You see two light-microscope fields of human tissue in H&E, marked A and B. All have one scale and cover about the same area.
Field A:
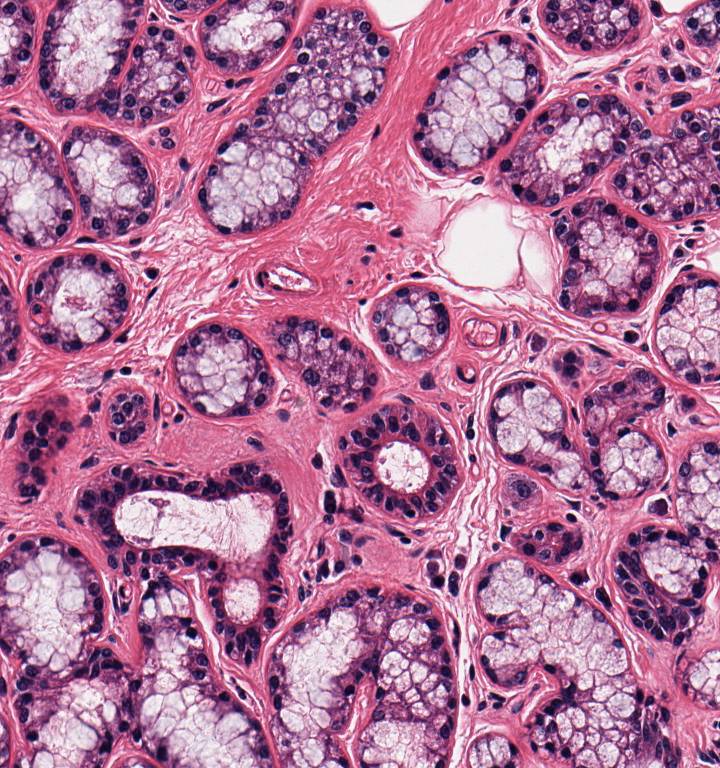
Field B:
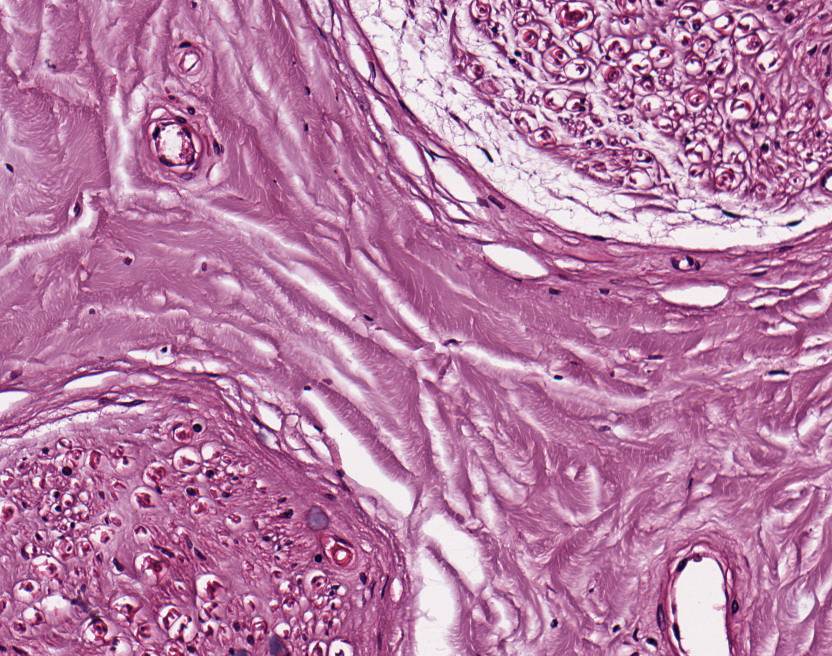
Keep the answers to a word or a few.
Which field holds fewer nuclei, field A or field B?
B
